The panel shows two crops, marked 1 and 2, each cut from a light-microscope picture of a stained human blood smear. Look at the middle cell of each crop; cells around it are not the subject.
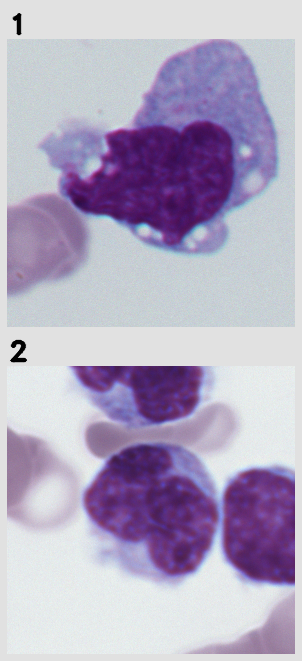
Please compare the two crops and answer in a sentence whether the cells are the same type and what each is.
Yes, the two crops both show monocytes.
